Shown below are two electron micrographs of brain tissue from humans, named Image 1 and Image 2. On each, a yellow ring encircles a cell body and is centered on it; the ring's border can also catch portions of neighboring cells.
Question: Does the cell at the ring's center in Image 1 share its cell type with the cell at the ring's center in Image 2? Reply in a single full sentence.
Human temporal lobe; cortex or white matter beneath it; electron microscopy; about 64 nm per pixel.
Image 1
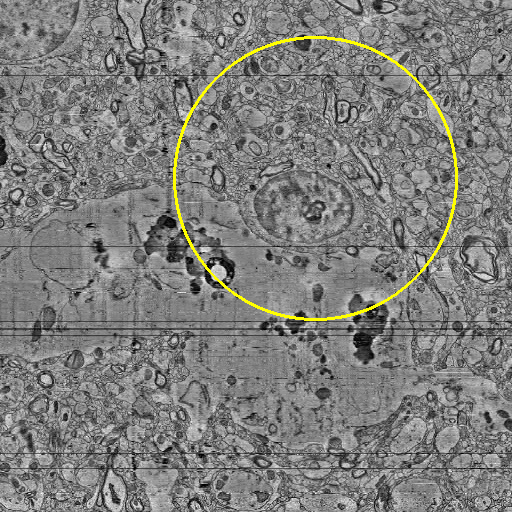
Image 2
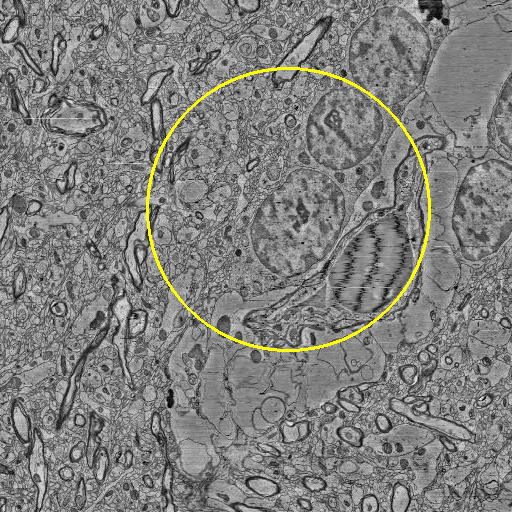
Yes, the two cells at the ring centers, in Image 1 and Image 2, share one cell type.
